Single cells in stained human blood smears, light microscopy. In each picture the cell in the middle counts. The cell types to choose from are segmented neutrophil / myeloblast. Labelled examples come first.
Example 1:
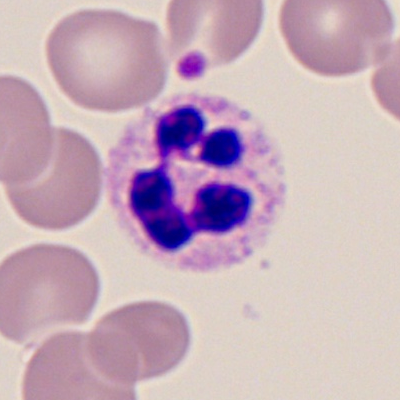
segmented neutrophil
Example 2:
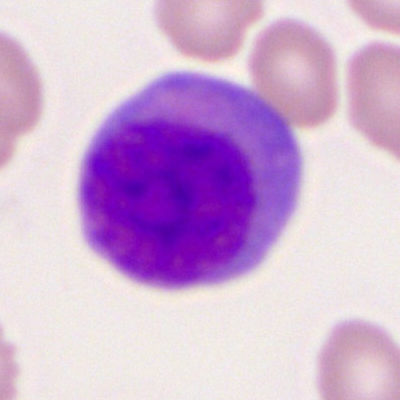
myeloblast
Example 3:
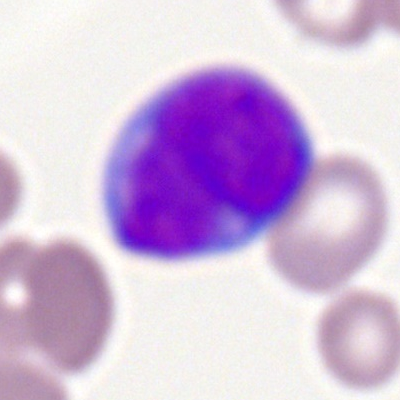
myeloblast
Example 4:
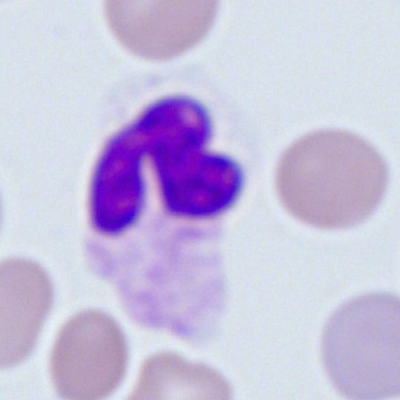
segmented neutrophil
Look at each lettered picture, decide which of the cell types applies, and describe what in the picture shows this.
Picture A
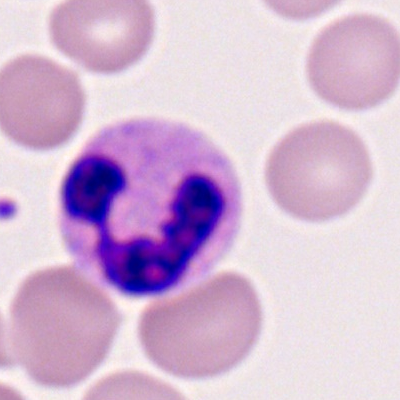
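segmented neutrophil. The nucleus is bent into a U shape that opens toward the top.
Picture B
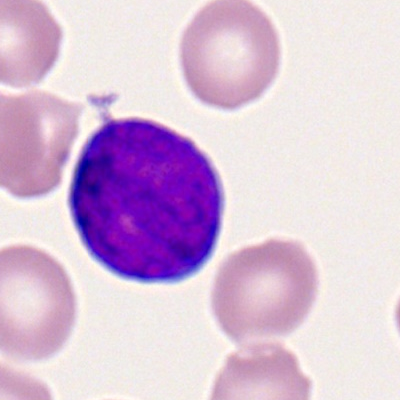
myeloblast. The nucleus fills almost the whole cell, leaving only a very thin rim of cytoplasm.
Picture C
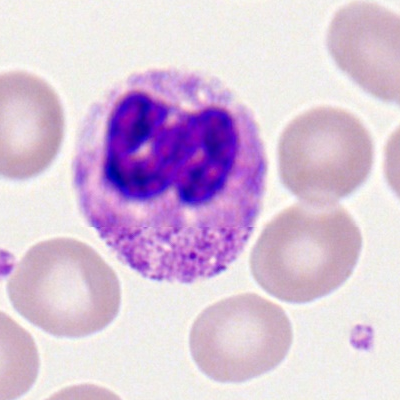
segmented neutrophil. The nucleus is made of two lobes lying side by side.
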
